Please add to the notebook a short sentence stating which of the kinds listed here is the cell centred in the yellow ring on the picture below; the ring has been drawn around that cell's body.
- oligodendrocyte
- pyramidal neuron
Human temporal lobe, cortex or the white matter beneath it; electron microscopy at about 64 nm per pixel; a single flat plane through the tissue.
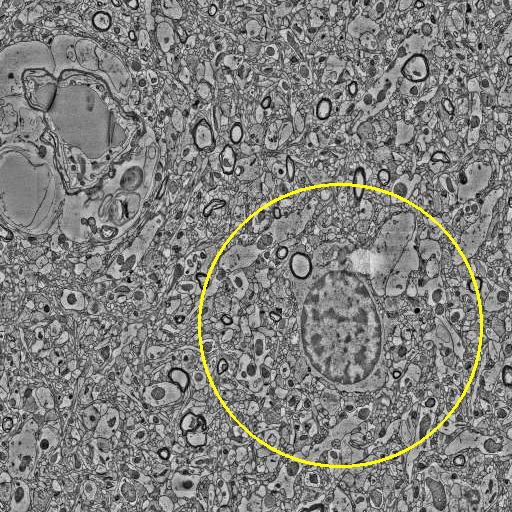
The cell centred in the yellow ring is an oligodendrocyte.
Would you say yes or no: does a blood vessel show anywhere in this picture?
Yes, one appears.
